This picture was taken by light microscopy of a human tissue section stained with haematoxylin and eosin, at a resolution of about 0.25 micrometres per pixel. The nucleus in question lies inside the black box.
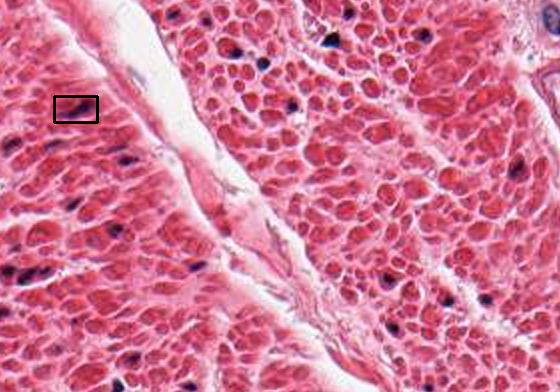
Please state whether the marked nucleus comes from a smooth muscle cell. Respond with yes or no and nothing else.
yes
